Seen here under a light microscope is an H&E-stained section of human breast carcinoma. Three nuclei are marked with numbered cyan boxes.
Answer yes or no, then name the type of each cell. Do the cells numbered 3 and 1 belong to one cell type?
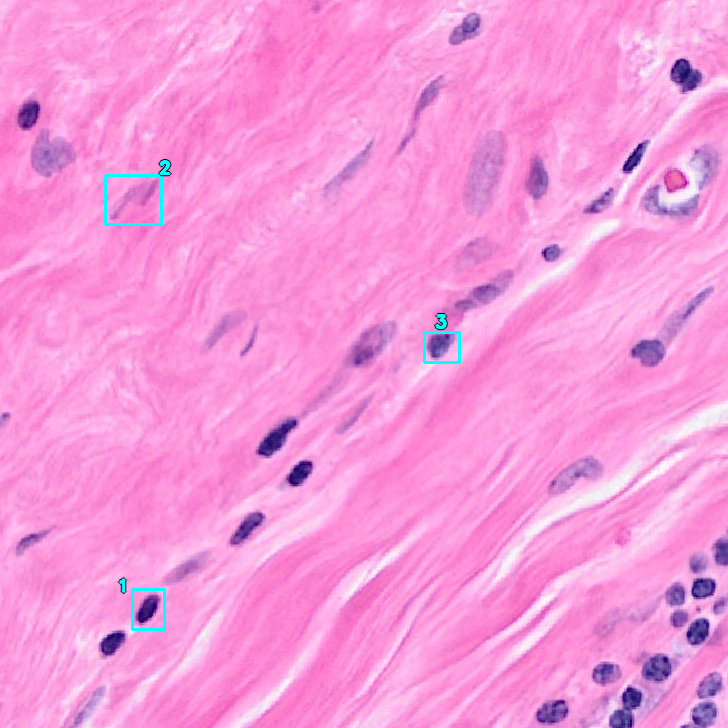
Yes, sure, cells 3 and 1 are both lymphocytes.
